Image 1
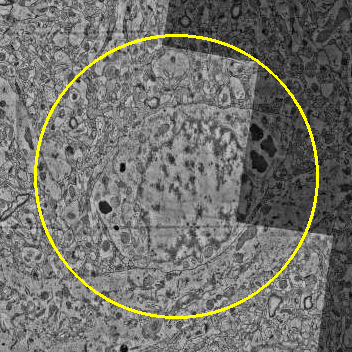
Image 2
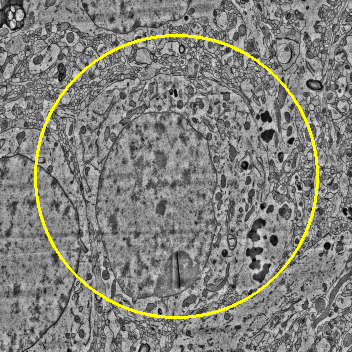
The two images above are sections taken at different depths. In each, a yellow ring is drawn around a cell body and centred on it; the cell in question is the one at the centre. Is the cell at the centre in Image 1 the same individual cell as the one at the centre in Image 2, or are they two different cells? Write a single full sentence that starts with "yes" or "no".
No, each yellow ring marks its own cell.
